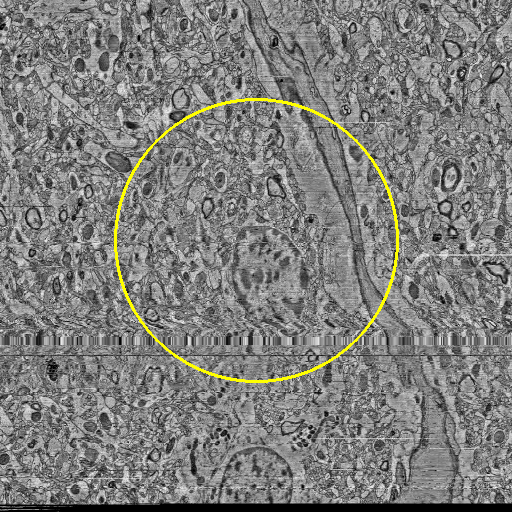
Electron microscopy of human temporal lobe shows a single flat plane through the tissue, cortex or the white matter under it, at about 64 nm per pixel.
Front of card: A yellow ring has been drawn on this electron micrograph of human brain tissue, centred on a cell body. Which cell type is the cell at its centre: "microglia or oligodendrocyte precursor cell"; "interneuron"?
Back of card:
microglia or oligodendrocyte precursor cell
